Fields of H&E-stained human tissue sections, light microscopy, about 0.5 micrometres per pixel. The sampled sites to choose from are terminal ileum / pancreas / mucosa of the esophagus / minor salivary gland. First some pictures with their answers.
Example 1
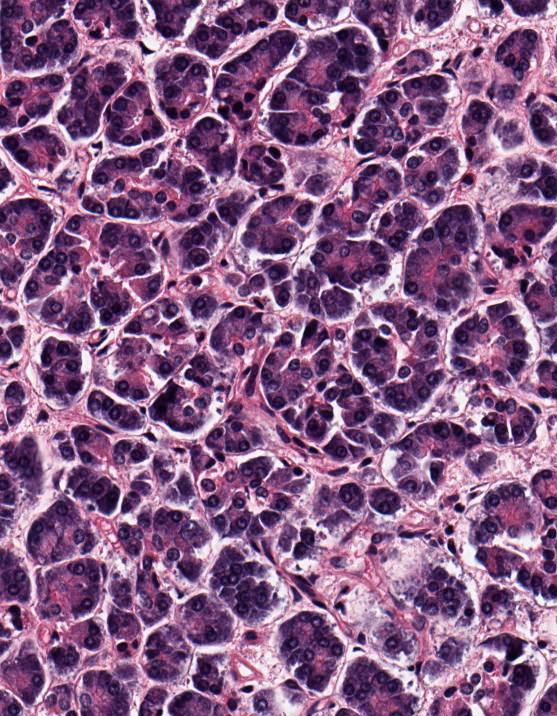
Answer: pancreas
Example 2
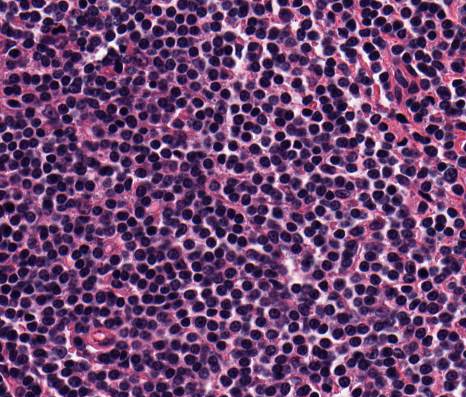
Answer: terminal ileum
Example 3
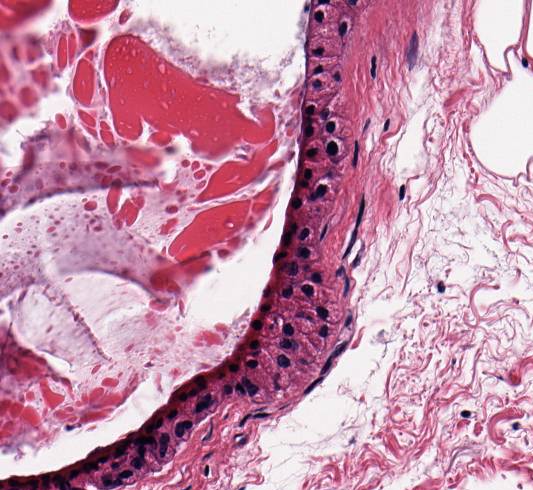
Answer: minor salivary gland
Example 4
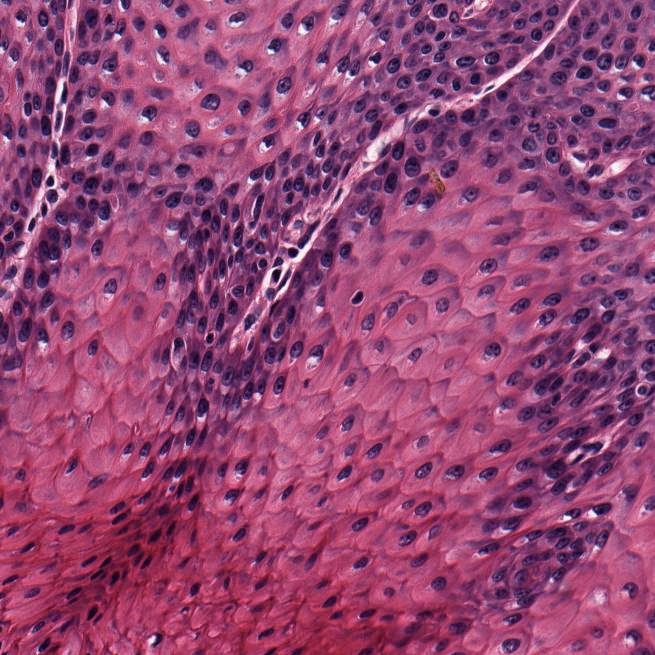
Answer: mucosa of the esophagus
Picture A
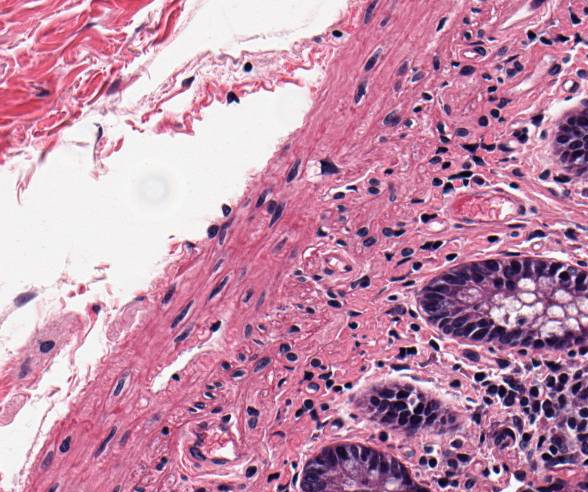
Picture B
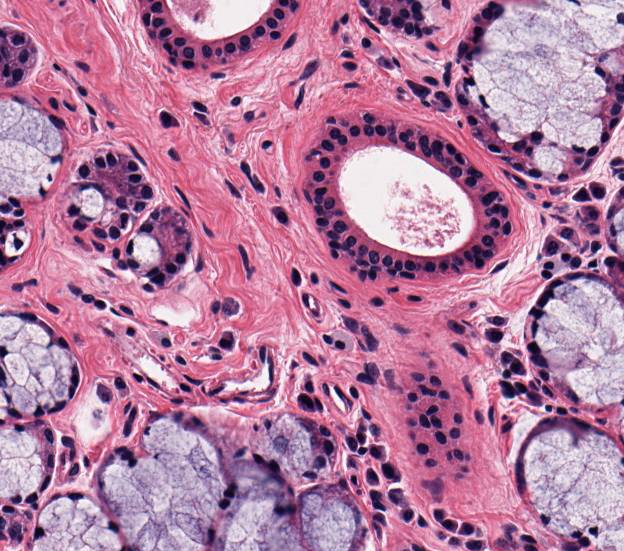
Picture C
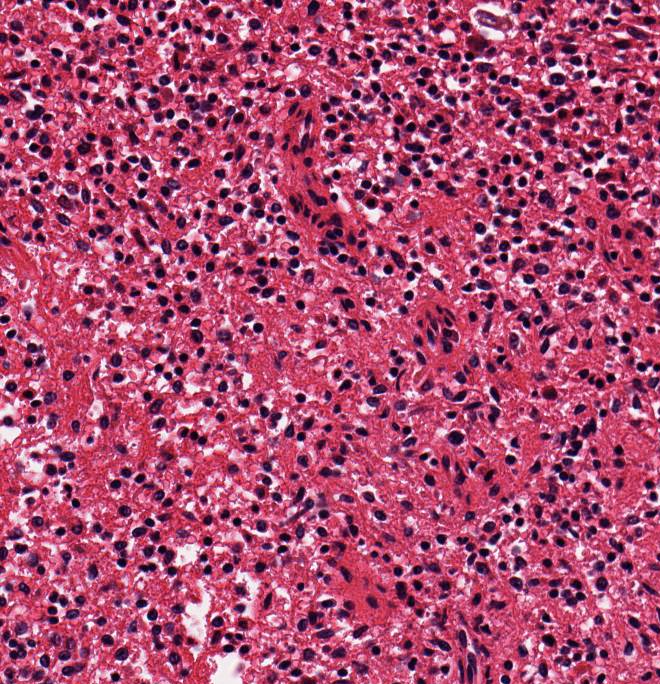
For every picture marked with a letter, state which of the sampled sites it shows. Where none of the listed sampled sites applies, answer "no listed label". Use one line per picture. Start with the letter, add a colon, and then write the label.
A: terminal ileum
B: minor salivary gland
C: no listed label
